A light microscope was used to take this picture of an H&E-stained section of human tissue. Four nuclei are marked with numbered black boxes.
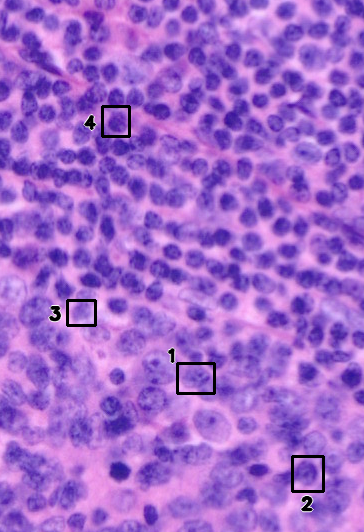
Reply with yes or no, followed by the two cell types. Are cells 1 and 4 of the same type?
No, cell 1 should be called a proliferating B cell, and cell 4 should be called a small lymphocyte.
